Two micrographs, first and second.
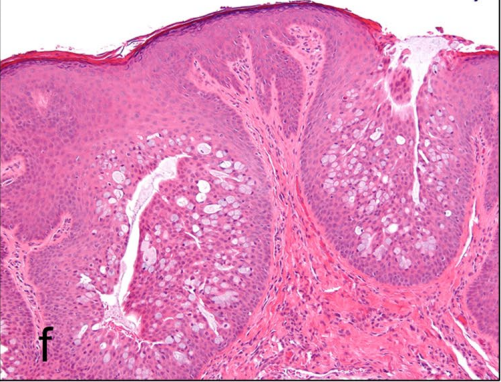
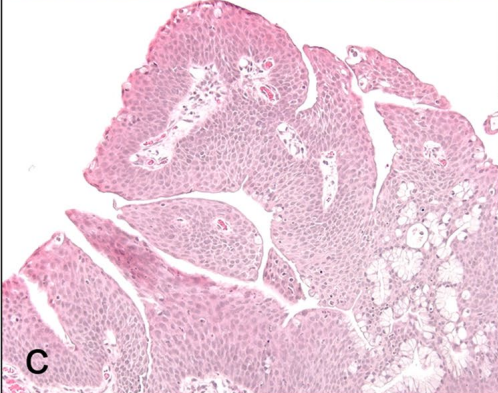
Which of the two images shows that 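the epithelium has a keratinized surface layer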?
The first image.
